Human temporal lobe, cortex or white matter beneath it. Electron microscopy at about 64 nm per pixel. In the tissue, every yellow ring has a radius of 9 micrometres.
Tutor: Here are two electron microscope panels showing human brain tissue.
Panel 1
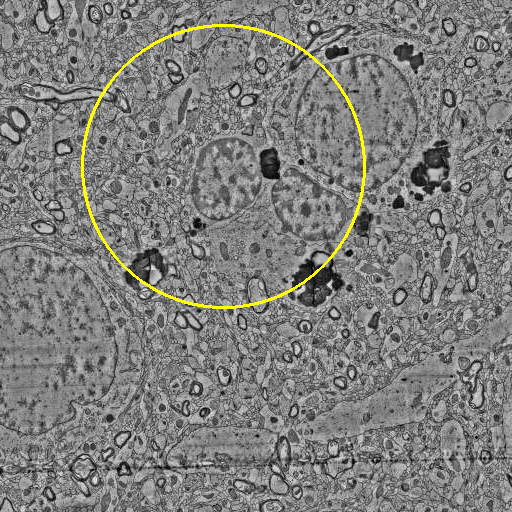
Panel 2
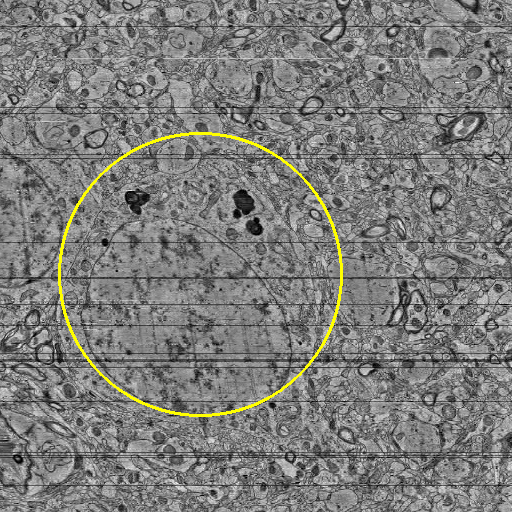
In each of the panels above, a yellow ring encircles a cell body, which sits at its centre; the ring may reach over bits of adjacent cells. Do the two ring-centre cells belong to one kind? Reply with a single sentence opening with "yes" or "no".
No, the two cells sitting at the ring centres in the panels belong to two kinds.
